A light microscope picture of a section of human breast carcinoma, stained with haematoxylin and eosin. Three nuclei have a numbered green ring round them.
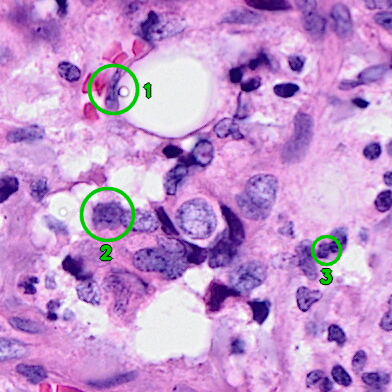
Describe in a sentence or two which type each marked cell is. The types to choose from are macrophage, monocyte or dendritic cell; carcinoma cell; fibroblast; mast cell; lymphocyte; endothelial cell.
Cell 1 is an endothelial cell. Cell 2 is a carcinoma cell. Cell 3 is a lymphocyte.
